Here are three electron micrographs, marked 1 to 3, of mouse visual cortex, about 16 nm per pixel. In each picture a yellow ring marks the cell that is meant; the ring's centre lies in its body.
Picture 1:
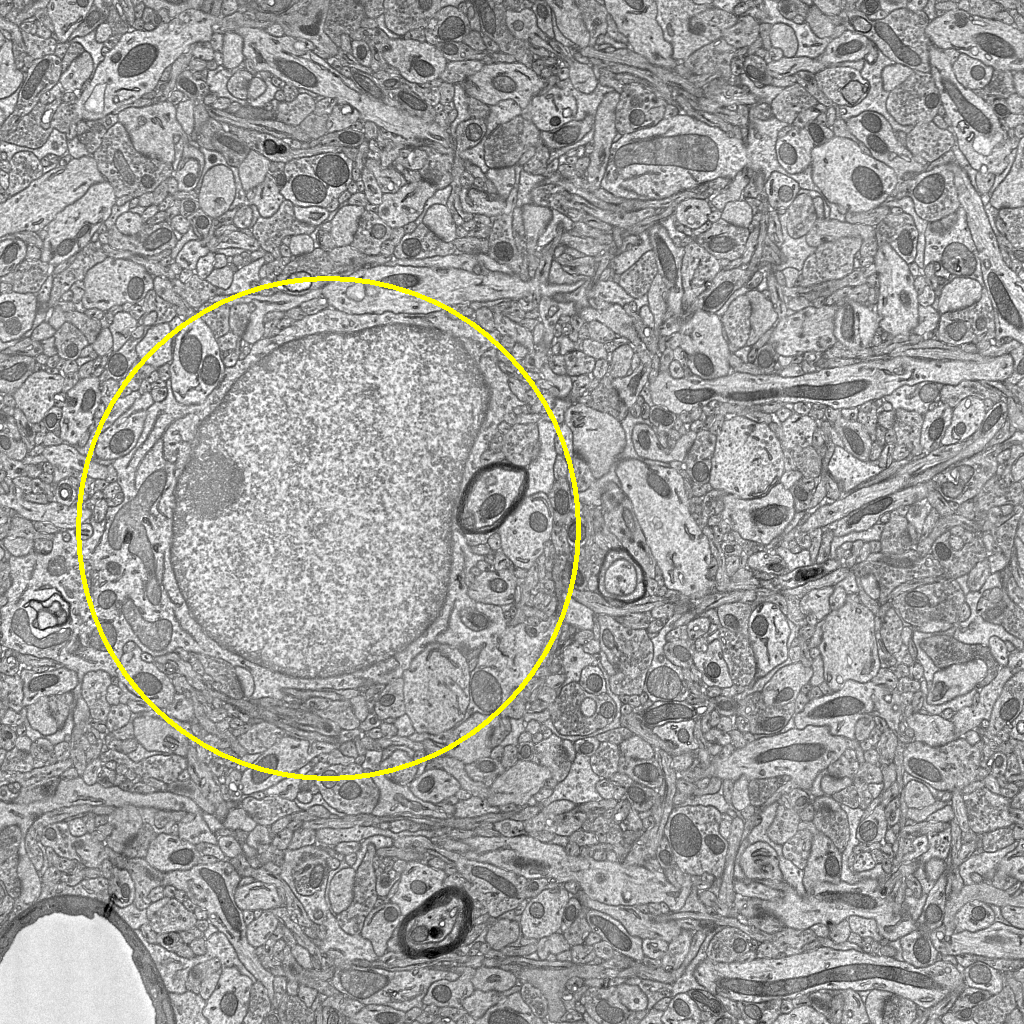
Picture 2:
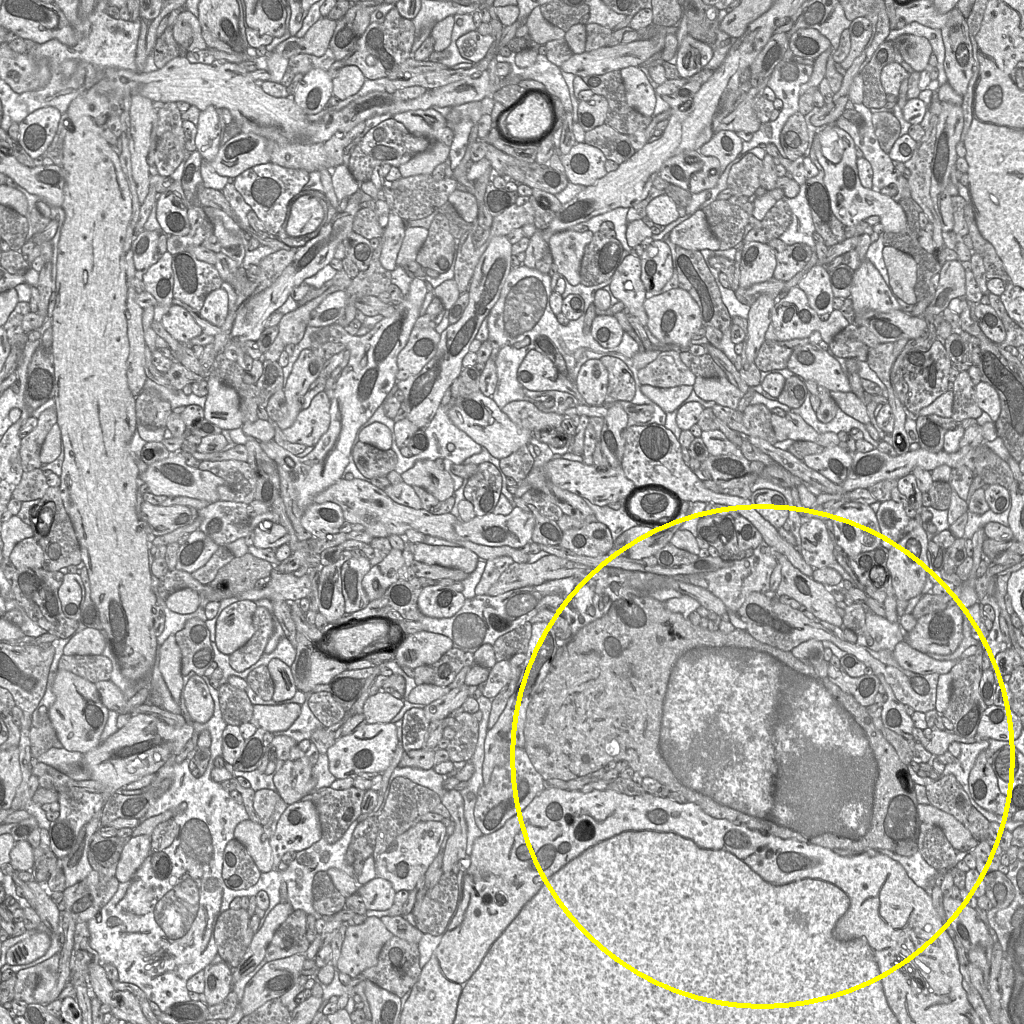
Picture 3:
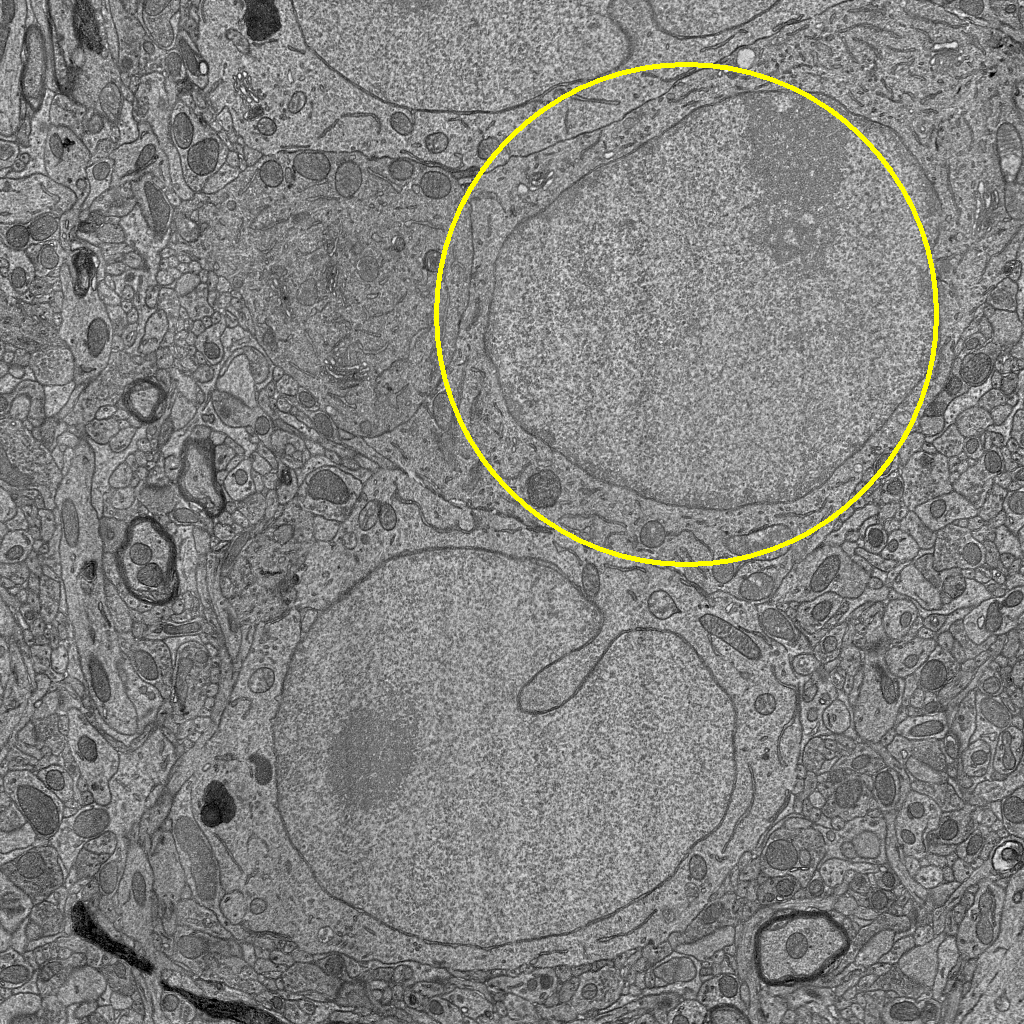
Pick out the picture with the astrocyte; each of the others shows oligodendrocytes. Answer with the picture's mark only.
1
